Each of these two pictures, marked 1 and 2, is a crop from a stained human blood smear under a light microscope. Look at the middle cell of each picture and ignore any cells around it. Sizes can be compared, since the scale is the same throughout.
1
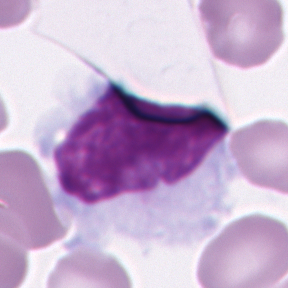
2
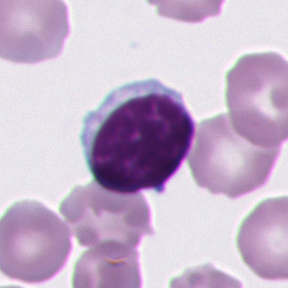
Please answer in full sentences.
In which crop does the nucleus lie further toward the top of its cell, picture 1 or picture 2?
Seen within its cell, the nucleus in picture 1 lies further toward the top.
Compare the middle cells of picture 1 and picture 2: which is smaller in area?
Smaller is the cell in picture 2, and the other is about 2 times as large in area.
